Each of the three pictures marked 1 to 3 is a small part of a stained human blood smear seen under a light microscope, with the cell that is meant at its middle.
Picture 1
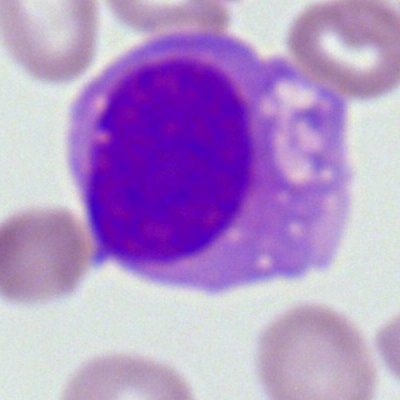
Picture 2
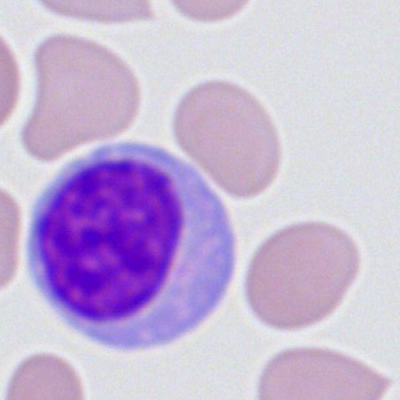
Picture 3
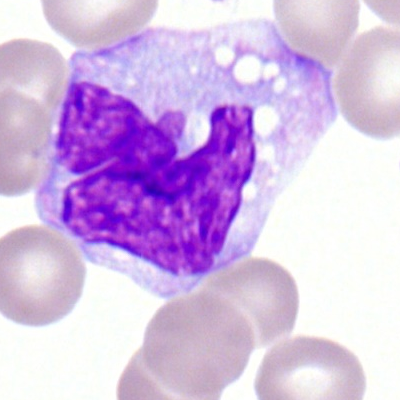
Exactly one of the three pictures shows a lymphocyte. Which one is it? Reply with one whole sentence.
The lymphocyte is the one in picture 2.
